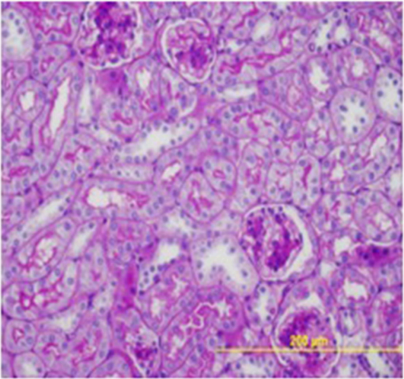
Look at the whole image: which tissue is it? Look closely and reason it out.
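Round capillary tufts sit inside clear capsular spaces. They are surrounded by many tubule cross-sections lined by cuboidal cells. Magenta lines outline the tubules and form brush borders at their lumens. That points to this answer: kidney.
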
